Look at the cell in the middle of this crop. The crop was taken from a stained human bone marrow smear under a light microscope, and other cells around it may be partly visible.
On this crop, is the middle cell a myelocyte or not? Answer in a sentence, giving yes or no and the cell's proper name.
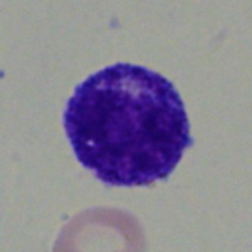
Yes, the cell in the middle is recognised as a myelocyte.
